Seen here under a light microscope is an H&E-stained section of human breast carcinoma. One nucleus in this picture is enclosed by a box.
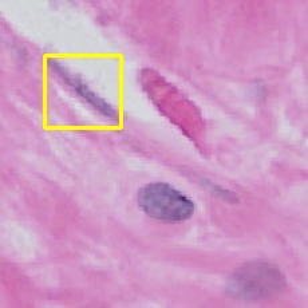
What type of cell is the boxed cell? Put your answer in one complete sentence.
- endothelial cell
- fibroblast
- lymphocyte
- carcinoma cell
Considered by cell type, the boxed cell is an endothelial cell.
